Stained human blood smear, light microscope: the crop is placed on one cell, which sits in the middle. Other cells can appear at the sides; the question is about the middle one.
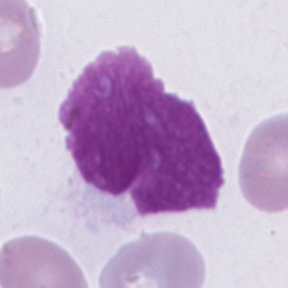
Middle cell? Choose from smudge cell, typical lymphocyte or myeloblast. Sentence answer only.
The cell found in the middle of this crop is a smudge cell.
